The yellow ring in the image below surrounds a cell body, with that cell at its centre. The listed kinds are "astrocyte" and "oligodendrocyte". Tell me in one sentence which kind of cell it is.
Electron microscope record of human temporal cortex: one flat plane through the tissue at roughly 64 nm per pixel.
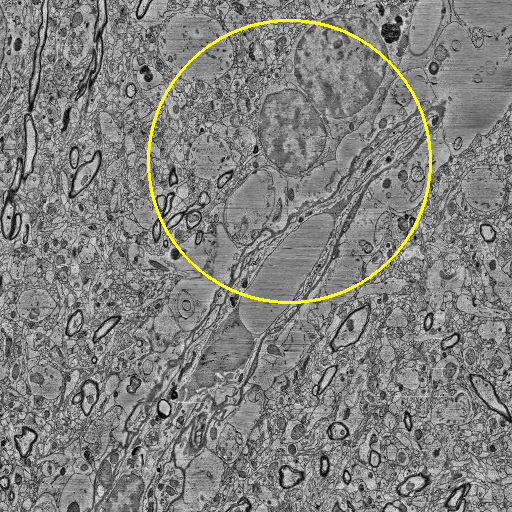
The centre of the ring holds an oligodendrocyte.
